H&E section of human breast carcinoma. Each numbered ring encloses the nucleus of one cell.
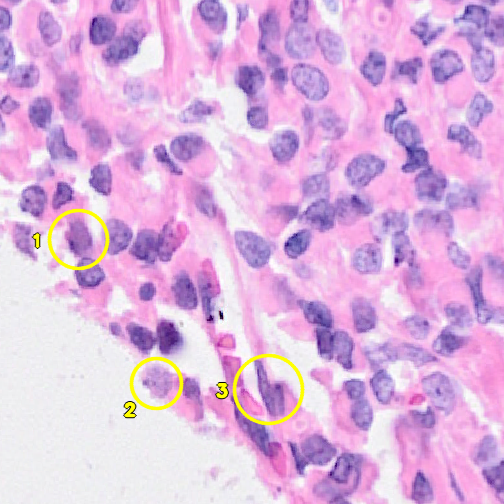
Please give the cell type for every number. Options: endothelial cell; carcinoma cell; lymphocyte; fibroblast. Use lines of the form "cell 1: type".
cell 1: carcinoma cell
cell 2: carcinoma cell
cell 3: endothelial cell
